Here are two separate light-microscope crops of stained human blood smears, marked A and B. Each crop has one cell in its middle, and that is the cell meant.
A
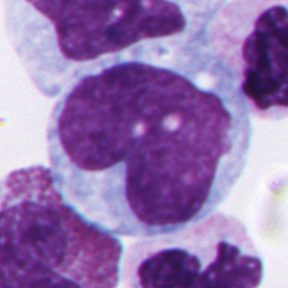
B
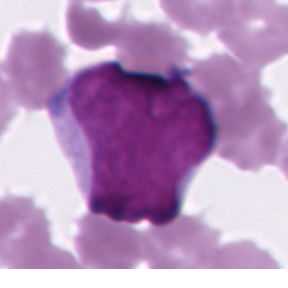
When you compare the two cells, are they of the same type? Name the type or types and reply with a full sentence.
No, crop A gives us a monocyte and crop B gives us a myeloblast.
